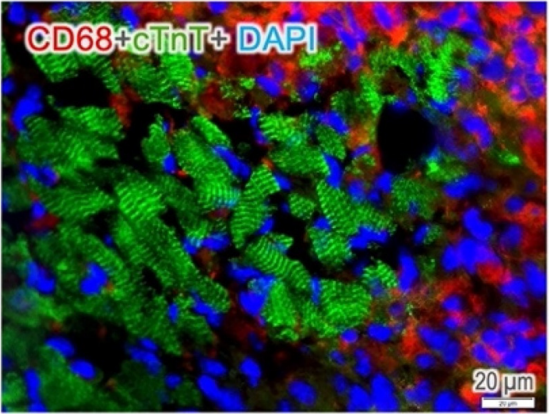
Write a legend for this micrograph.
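Here a cluster of heart muscle fibres stained green lies in damaged heart tissue, surrounded by many small cells. The green fibres show fine regular cross-striations, and some appear fragmented and separated from one another. Around them, densely packed small blue nuclei belong to infiltrating cells, many of which carry red staining at their edges and within their cytoplasm. The red-stained cells are most crowded along the upper and right margins of the field.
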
